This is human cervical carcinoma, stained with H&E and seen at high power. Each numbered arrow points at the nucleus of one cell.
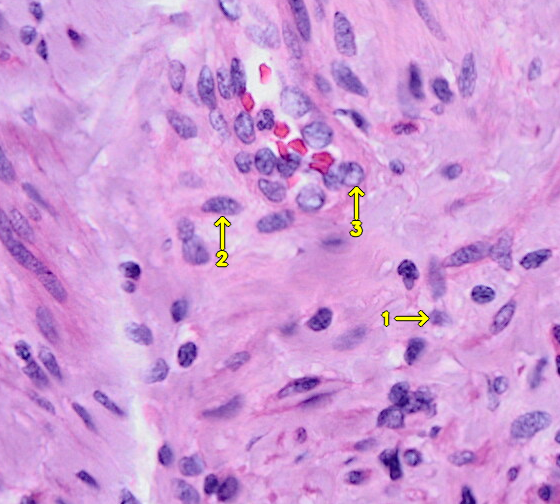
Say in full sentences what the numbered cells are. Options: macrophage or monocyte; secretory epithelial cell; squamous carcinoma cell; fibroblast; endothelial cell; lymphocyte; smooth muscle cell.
Cell 1 is a fibroblast, cell 2 is a smooth muscle cell and cell 3 is an endothelial cell.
